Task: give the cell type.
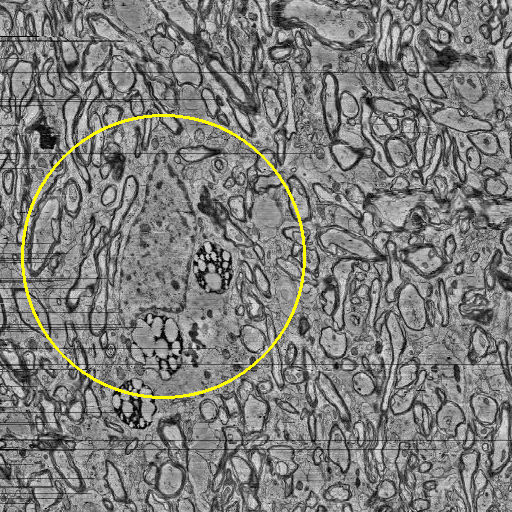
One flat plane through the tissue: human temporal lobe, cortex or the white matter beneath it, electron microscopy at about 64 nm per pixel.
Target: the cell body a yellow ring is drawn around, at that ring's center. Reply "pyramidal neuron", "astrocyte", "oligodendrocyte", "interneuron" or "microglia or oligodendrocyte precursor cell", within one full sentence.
In this picture, the cell whose body lies at the ring's center is an astrocyte.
